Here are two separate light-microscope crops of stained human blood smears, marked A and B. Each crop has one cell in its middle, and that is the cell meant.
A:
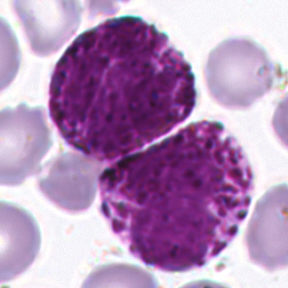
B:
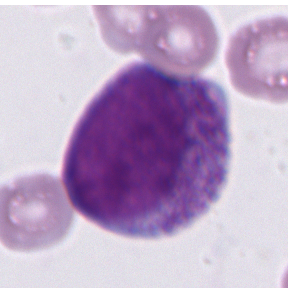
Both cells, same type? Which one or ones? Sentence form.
No, the cell in crop A is a basophil and the one in crop B is a promyelocyte.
